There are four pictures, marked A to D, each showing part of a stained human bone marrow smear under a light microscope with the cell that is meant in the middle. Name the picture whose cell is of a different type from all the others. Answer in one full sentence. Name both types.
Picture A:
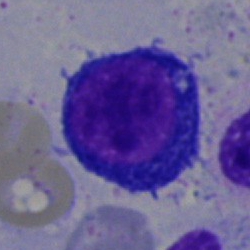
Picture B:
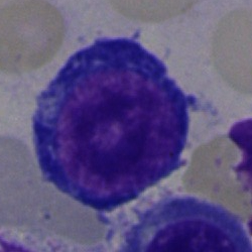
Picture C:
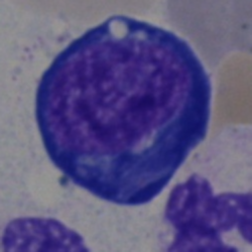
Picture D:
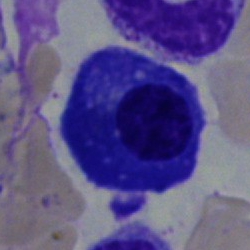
All pictures except D show proerythroblasts; picture D shows a plasma cell.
